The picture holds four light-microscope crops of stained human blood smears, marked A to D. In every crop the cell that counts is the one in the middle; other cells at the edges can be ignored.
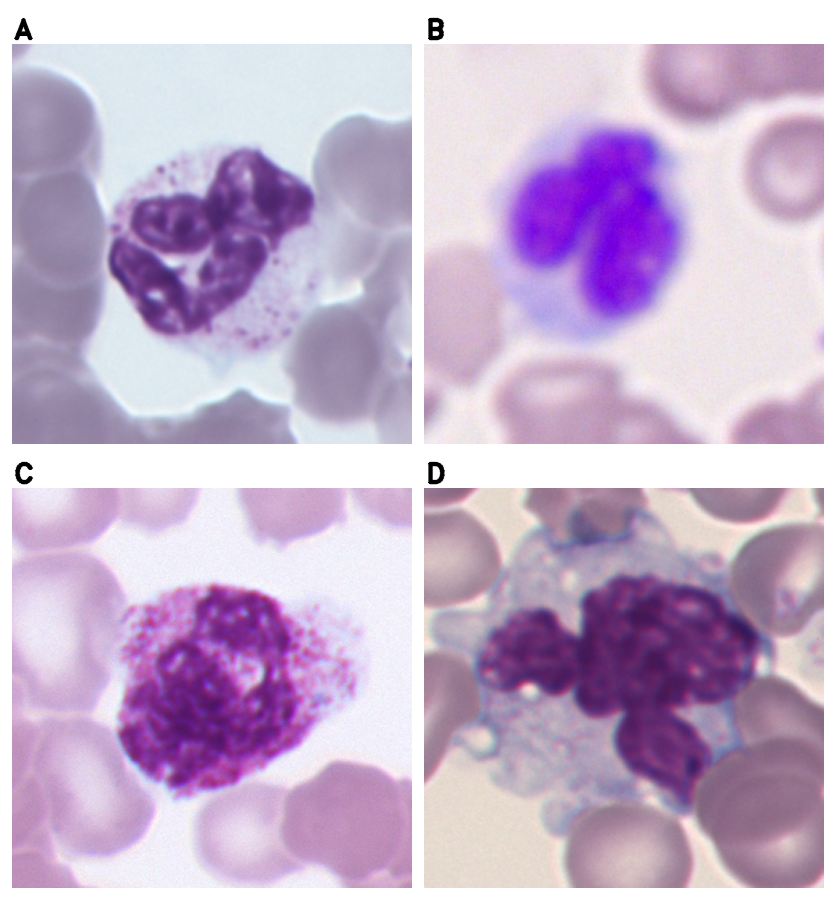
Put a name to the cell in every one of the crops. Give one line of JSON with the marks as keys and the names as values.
{"A": "neutrophil", "B": "monocyte", "C": "neutrophil", "D": "monocyte"}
